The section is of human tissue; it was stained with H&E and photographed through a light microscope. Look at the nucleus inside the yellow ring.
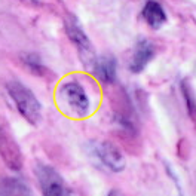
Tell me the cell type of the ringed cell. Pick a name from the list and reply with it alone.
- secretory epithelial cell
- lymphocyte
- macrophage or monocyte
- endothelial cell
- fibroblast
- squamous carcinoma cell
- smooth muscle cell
lymphocyte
